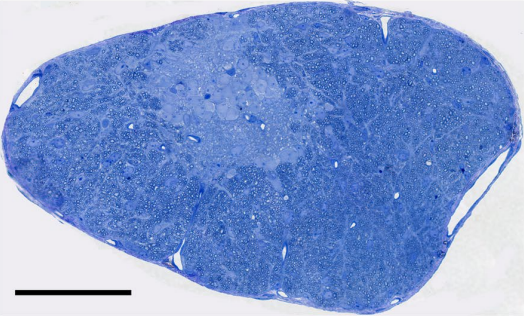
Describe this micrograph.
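Cross section of a myelinated nerve in which many small axons, cut across, are each ringed by a dark blue myelin sheath and packed closely together. In the central and upper part a paler, more homogeneous region stands out where the dark rings are sparse, marking a region of myelin loss. A thin sheath bounds the nerve at its edge.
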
